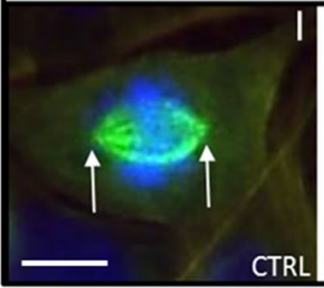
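A dividing cell at metaphase with a bipolar mitotic spindle. The blue chromatin is condensed into a single band across the middle of the cell, and green spindle fibres fan out towards two poles on opposite sides of it.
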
